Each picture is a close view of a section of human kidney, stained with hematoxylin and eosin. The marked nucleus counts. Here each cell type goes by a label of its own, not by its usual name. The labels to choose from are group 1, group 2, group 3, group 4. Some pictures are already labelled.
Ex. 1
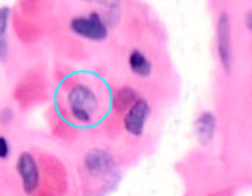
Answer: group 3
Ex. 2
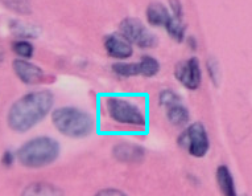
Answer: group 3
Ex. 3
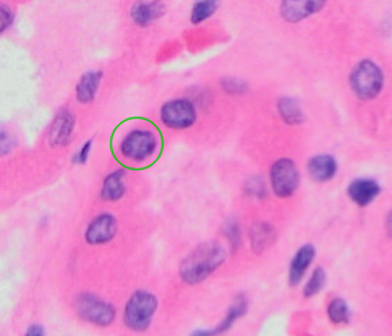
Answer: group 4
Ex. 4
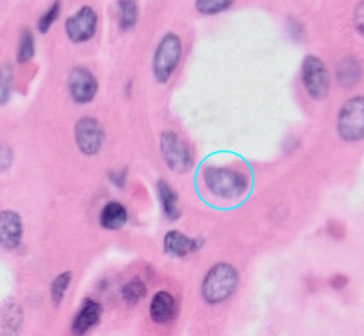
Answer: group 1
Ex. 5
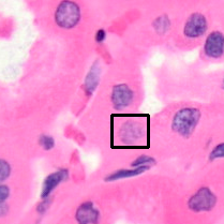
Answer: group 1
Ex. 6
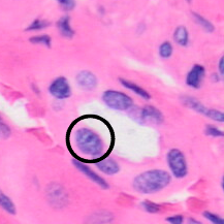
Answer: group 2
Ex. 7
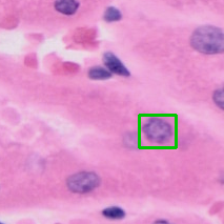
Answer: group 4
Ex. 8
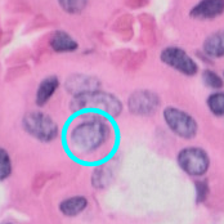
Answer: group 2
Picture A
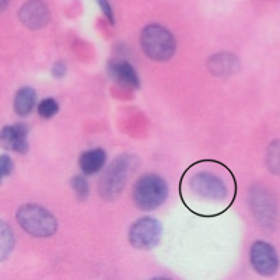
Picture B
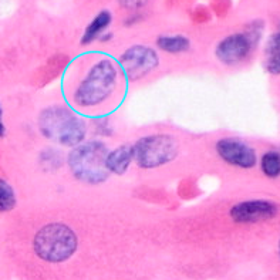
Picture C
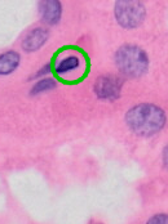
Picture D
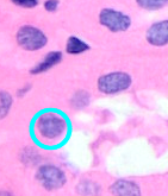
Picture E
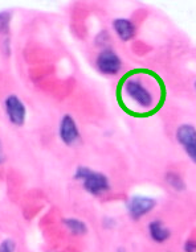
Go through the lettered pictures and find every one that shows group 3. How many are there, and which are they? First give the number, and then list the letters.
2, namely C, E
